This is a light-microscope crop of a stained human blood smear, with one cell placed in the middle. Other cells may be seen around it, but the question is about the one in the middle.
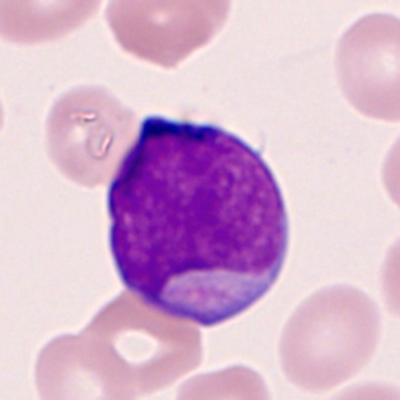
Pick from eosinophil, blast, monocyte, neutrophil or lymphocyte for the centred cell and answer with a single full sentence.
This crop has a blast at its centre.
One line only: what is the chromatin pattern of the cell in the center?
There is no coarse clumping; the chromatin stays fine throughout.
